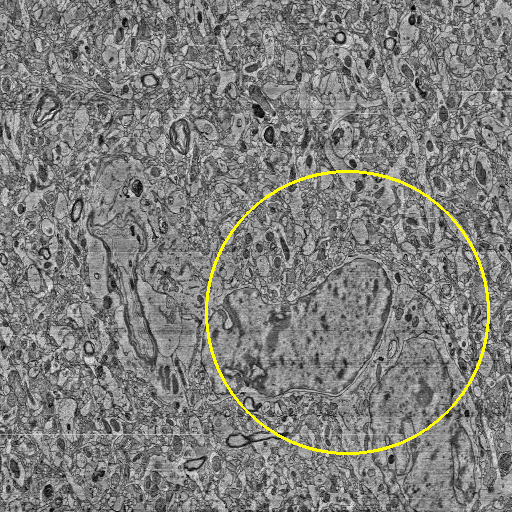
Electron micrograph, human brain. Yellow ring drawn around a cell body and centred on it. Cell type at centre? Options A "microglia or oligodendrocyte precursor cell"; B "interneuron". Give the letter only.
A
